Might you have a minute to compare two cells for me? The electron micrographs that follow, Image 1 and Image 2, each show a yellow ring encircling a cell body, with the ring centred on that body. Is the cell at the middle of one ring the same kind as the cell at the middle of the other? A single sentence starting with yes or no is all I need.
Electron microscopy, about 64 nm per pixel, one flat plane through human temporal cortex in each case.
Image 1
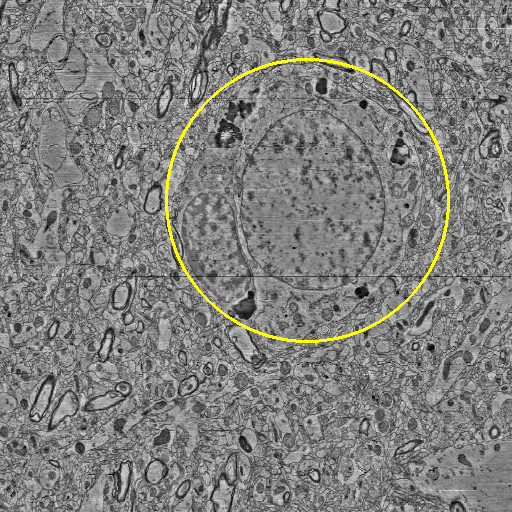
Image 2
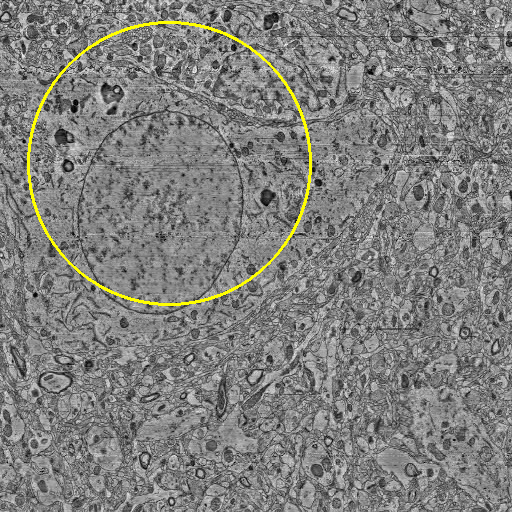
Yes, the cells in the middle of the two rings are of one shared kind.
